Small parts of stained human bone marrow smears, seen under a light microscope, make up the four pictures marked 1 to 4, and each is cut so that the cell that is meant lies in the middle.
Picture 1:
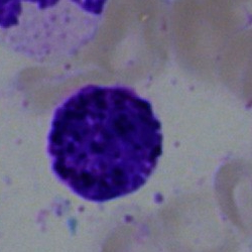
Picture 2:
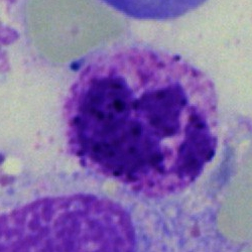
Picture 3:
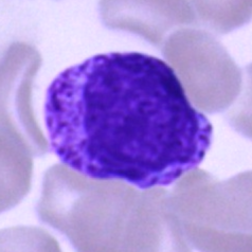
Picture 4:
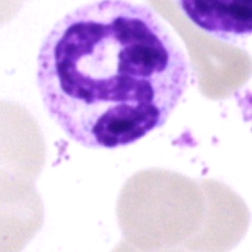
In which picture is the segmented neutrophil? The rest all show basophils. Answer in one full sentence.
It is picture 4 that shows the segmented neutrophil.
